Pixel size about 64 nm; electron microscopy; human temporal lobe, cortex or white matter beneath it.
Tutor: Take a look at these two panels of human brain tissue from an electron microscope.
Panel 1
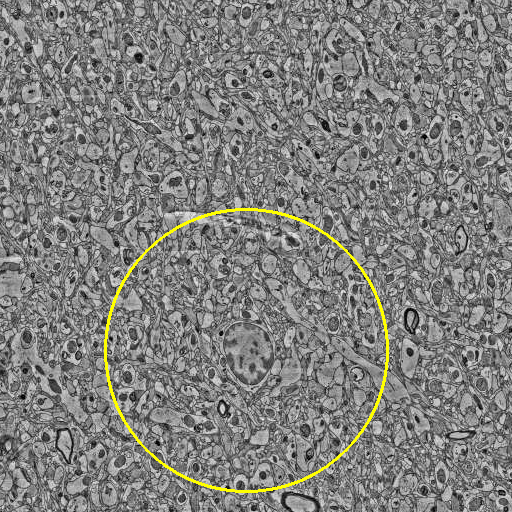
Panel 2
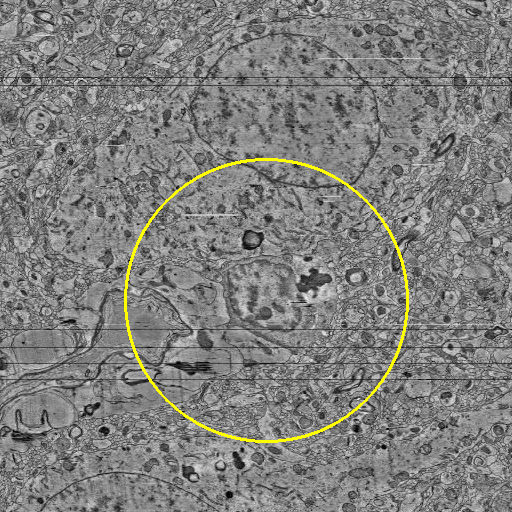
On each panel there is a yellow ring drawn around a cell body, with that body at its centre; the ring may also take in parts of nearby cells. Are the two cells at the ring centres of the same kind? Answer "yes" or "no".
no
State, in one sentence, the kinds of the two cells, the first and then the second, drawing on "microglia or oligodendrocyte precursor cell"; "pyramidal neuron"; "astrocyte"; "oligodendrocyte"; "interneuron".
The ring in the second picture is centred on an oligodendrocyte, the ring in the first on a microglial cell or oligodendrocyte precursor cell.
